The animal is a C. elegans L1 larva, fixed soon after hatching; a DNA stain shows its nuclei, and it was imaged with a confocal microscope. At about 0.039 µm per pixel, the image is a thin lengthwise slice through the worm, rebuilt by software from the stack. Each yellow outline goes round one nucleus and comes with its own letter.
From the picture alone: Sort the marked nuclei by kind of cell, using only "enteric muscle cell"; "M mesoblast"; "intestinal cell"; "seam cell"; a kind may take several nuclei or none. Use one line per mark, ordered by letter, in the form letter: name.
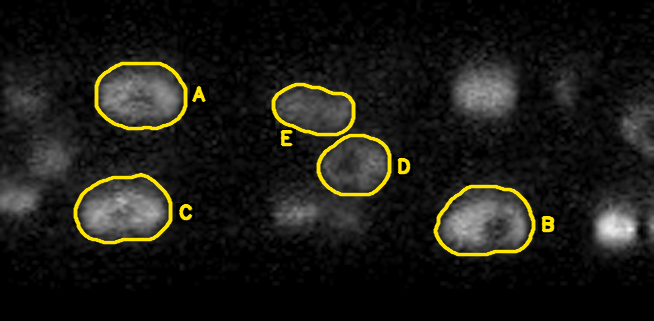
A: seam cell
B: seam cell
C: seam cell
D: intestinal cell
E: M mesoblast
